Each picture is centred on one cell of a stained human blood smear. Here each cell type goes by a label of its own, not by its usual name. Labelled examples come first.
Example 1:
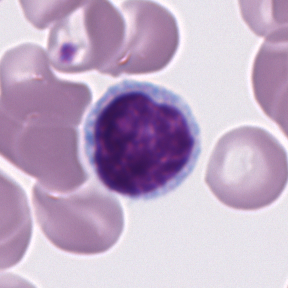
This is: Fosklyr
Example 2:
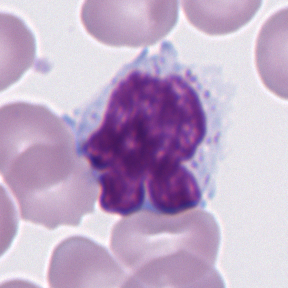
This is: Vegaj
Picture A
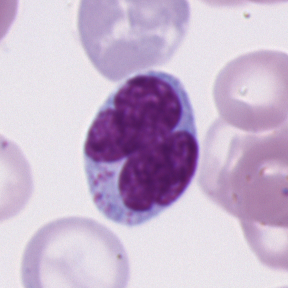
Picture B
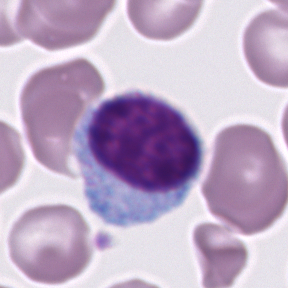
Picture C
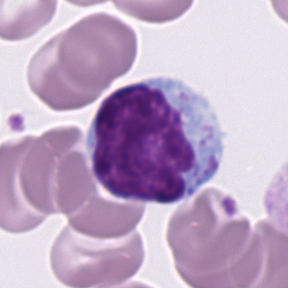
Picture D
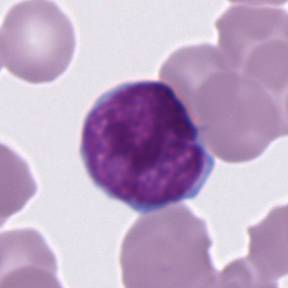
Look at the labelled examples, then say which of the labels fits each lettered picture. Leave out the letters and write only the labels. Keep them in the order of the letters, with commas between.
Vegaj, Fosklyr, Vegaj, Fosklyr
